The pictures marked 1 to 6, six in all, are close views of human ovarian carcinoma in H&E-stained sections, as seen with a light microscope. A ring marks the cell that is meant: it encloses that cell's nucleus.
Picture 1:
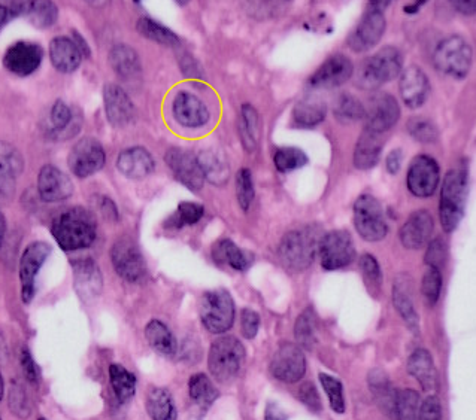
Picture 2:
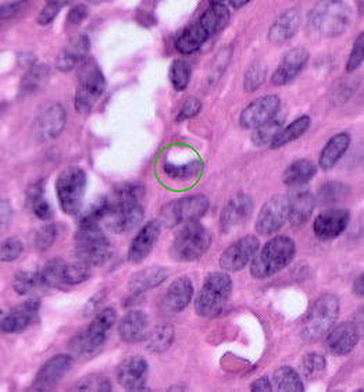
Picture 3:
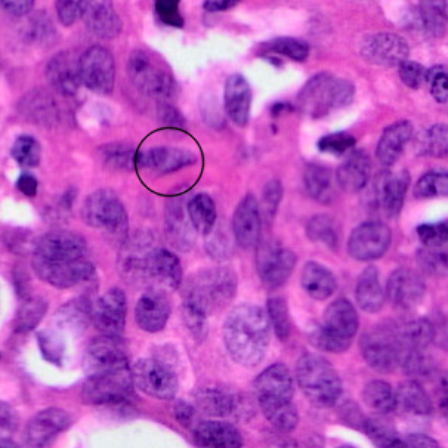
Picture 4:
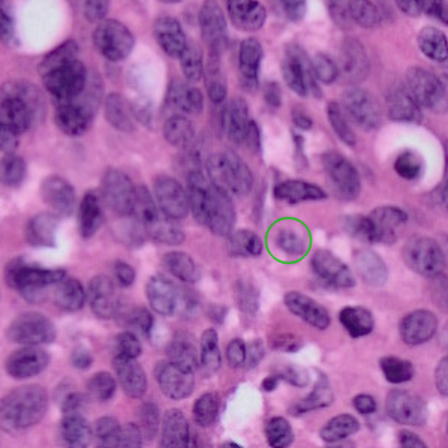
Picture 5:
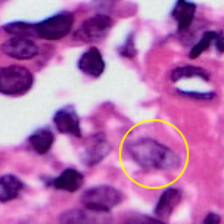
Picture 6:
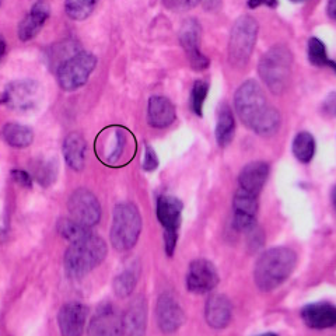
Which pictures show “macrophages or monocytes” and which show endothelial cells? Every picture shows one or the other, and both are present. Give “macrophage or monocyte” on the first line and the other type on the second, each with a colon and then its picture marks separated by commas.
macrophage or monocyte: 1, 4, 5
endothelial cell: 2, 3, 6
